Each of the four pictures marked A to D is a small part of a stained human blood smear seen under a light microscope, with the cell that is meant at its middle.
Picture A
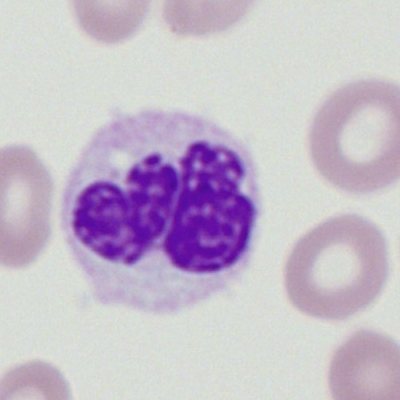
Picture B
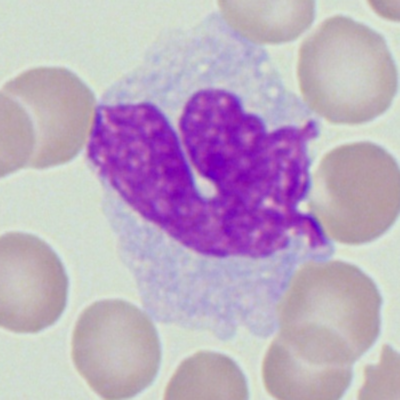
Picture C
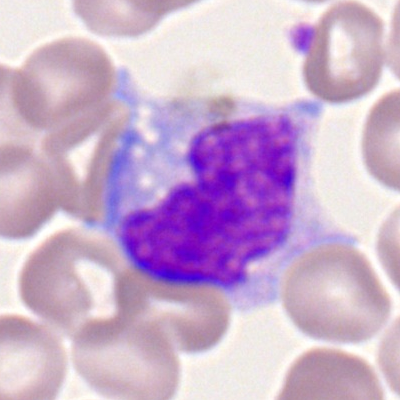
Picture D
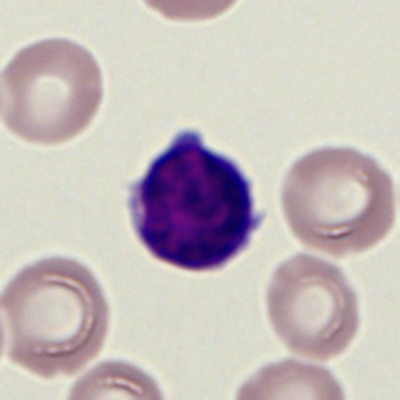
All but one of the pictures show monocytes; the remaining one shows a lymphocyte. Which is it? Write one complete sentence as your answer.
The lymphocyte is the one in picture D.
